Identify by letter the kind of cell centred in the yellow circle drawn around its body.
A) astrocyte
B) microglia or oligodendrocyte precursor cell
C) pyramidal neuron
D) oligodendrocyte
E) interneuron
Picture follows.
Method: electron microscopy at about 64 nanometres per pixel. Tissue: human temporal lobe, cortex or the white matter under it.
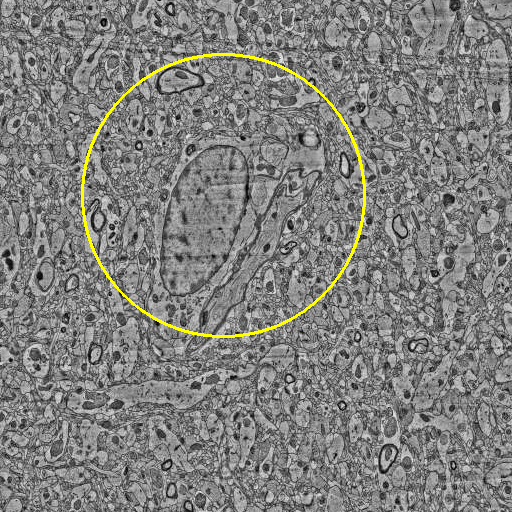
B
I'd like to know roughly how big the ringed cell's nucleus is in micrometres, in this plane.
Approximately 10 by 5 micrometers, which makes the nucleus clearly longer than it is wide in this plane.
